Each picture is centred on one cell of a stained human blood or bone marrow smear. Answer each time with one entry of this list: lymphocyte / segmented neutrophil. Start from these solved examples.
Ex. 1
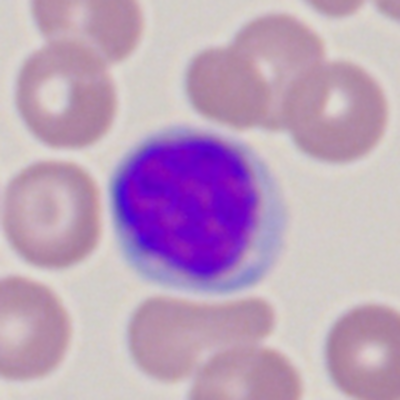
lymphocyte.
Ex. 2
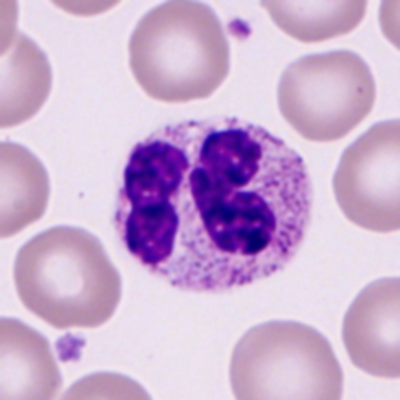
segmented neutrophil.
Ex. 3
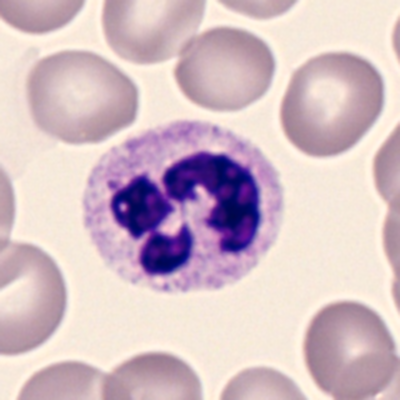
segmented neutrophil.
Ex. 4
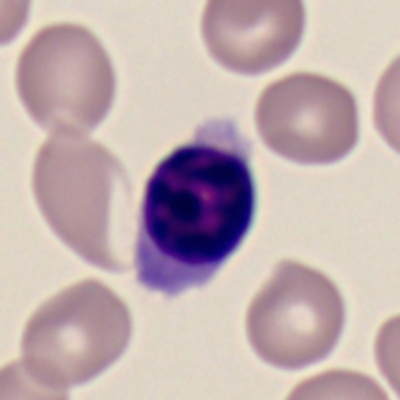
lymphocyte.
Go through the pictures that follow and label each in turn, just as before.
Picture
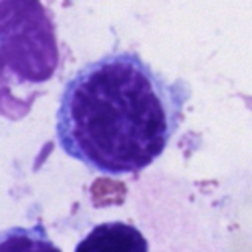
lymphocyte.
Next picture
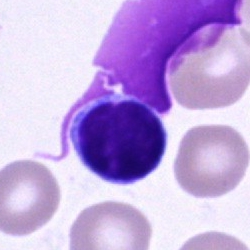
lymphocyte.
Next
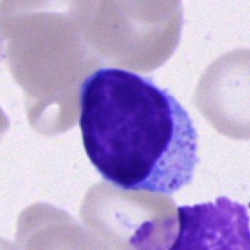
lymphocyte.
